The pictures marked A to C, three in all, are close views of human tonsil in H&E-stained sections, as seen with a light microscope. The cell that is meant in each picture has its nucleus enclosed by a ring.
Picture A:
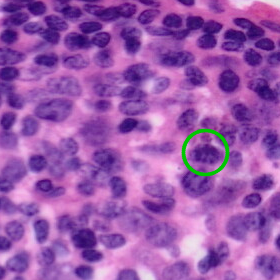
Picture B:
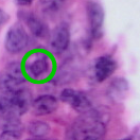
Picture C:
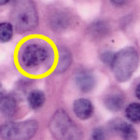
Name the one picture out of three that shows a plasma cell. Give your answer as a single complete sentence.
The plasma cell is the one in picture C.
